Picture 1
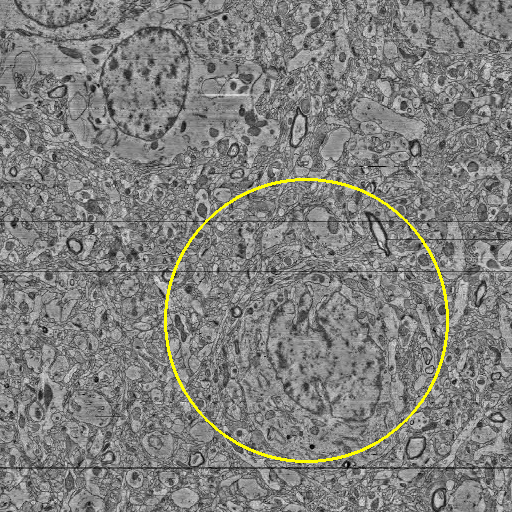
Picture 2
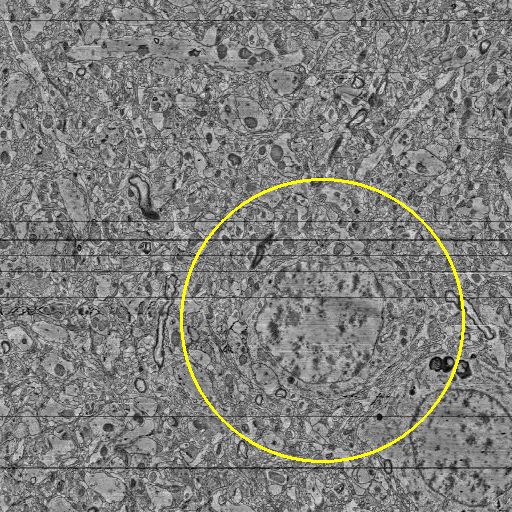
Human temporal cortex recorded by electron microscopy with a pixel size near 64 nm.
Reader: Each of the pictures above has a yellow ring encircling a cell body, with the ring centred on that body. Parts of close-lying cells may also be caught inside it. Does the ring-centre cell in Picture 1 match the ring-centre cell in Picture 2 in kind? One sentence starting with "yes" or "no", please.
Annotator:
Yes, Picture 1 and Picture 2 show ring-centre cells of a single kind.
